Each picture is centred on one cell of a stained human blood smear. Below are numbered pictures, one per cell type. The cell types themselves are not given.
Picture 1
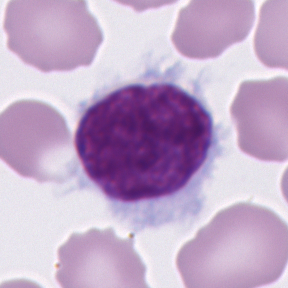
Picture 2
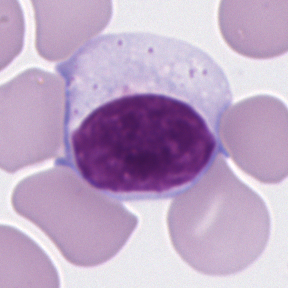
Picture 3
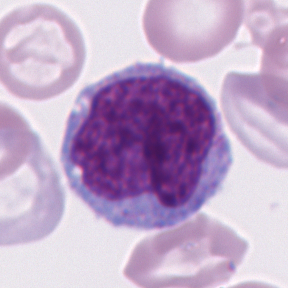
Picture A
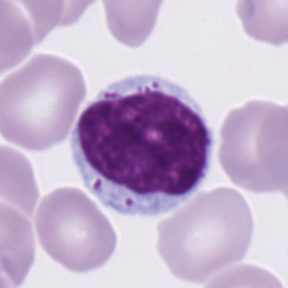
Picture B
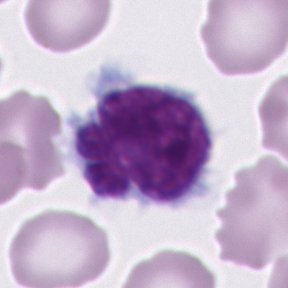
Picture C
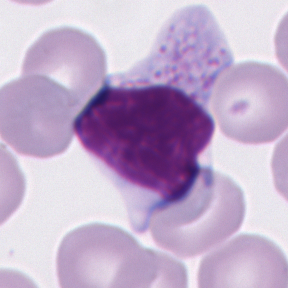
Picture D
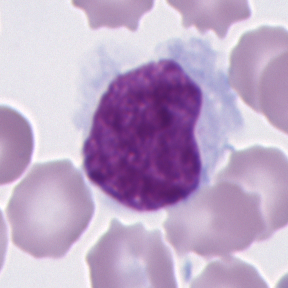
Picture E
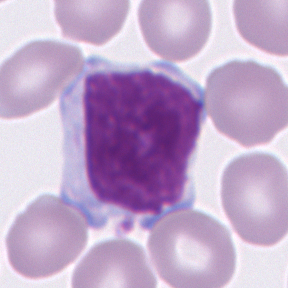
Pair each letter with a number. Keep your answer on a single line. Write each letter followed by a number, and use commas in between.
A 2, B 1, C 2, D 1, E 2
